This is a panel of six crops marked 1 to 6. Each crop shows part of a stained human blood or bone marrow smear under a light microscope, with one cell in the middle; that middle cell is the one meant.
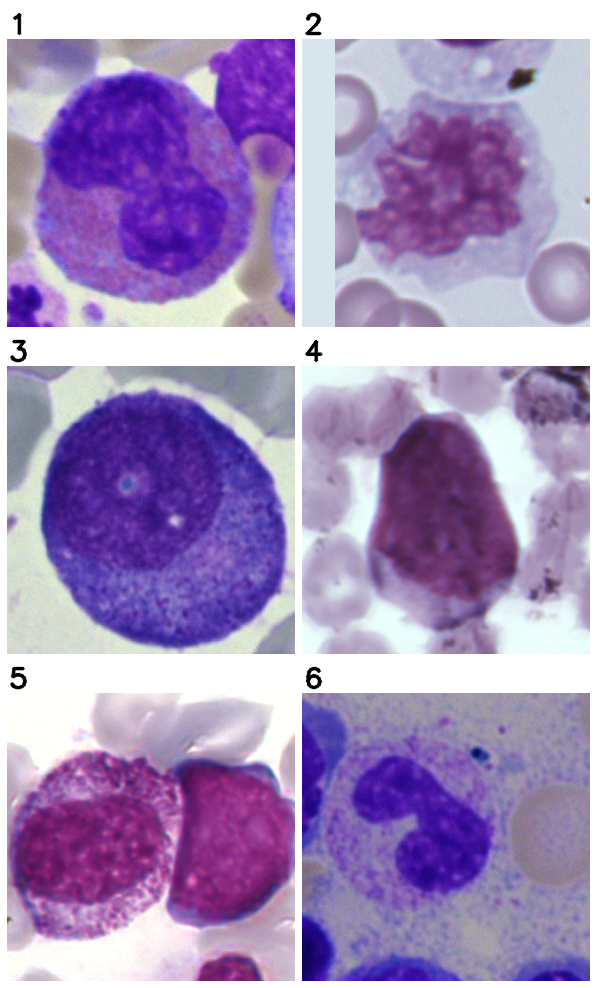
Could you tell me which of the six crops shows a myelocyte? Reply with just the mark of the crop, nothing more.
5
